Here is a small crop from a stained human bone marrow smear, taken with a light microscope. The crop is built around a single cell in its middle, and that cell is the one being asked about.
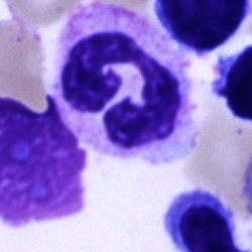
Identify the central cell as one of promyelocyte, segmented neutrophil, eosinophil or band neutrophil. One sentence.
Occupying the centre of the crop is a segmented neutrophil.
